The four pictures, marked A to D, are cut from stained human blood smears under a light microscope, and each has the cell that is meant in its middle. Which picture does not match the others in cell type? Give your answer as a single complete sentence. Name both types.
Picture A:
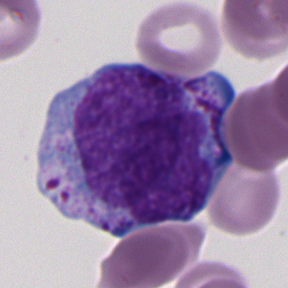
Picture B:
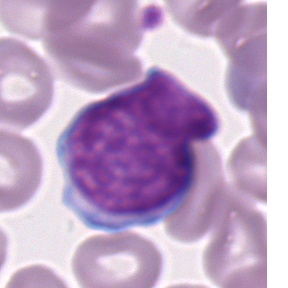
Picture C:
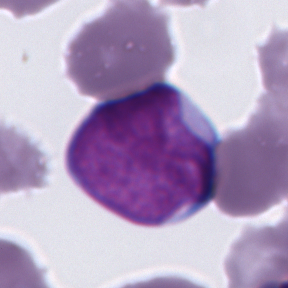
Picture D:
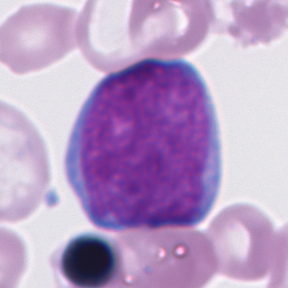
Unlike the rest, which show myeloblasts, picture A shows an atypical promyelocyte.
